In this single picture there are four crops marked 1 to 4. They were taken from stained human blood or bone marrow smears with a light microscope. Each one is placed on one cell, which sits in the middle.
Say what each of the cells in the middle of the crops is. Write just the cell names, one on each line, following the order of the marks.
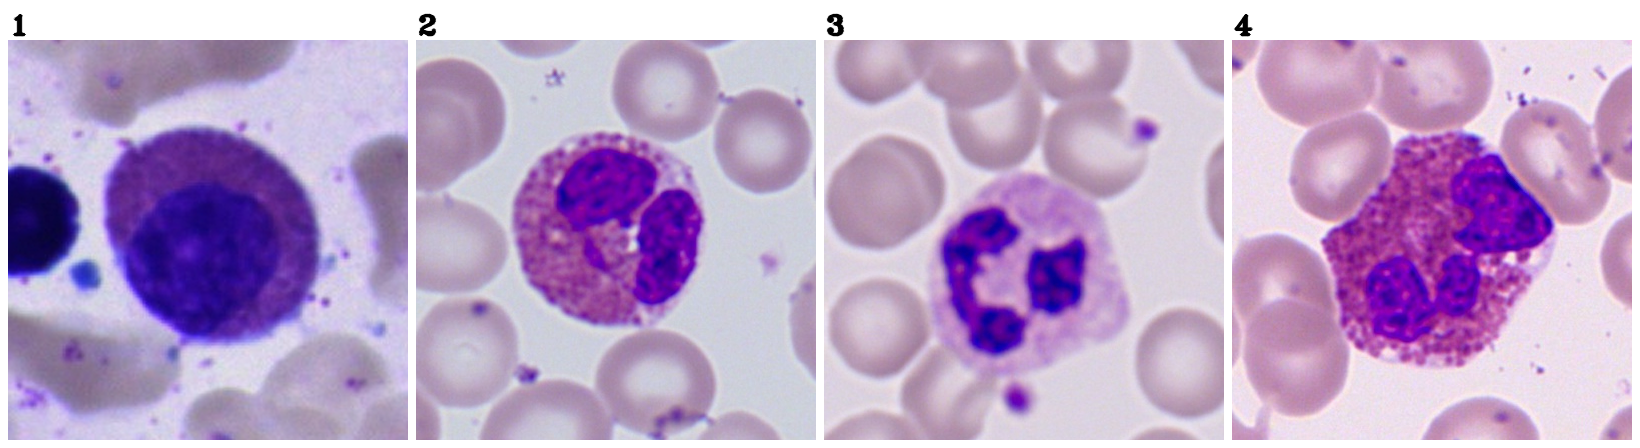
eosinophil
eosinophil
neutrophil
eosinophil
